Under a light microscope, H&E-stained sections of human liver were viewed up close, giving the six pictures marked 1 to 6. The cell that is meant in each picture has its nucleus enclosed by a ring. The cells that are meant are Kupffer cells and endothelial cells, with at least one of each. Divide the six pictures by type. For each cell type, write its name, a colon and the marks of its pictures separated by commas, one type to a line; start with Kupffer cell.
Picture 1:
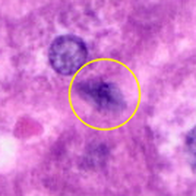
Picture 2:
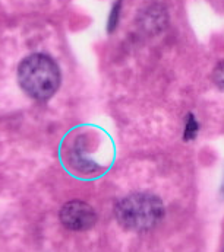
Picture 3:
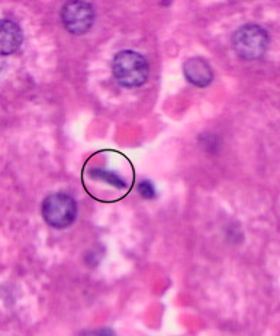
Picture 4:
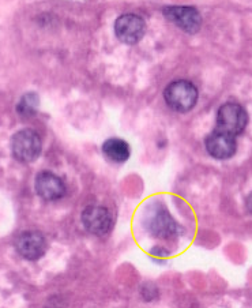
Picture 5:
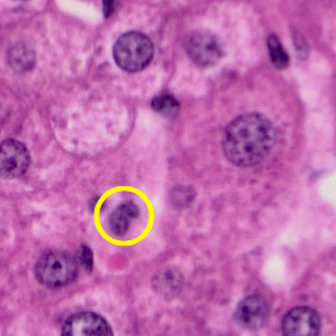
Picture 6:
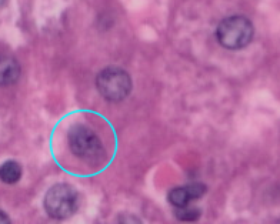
Kupffer cell: 4, 5
endothelial cell: 1, 2, 3, 6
